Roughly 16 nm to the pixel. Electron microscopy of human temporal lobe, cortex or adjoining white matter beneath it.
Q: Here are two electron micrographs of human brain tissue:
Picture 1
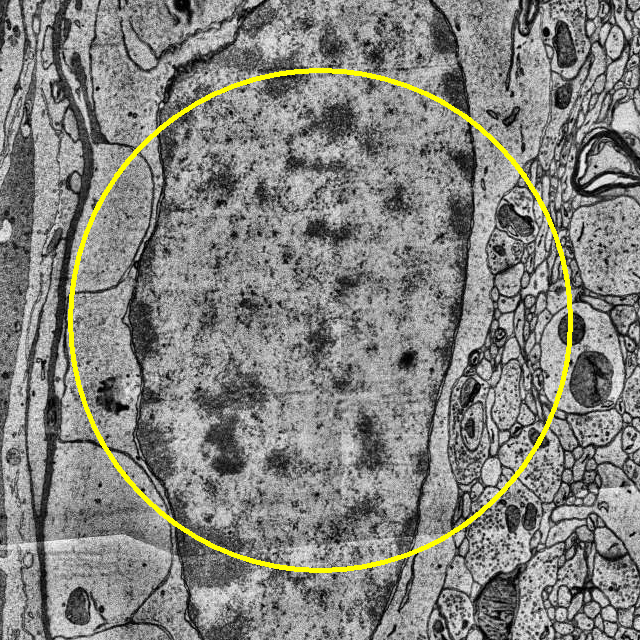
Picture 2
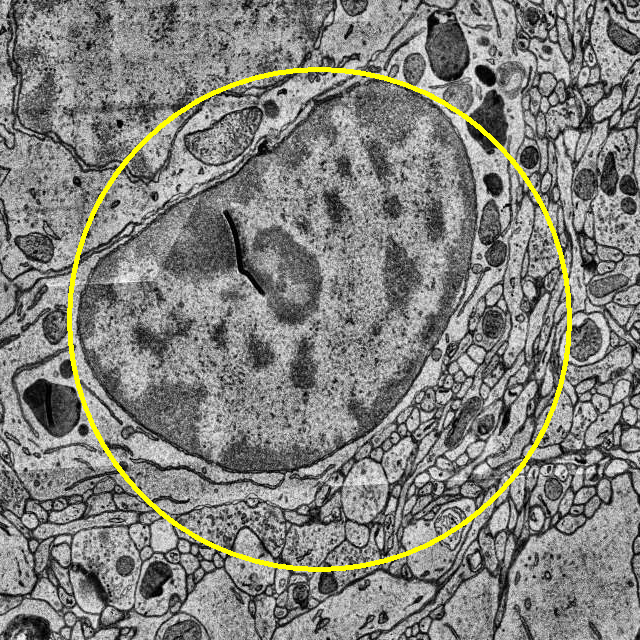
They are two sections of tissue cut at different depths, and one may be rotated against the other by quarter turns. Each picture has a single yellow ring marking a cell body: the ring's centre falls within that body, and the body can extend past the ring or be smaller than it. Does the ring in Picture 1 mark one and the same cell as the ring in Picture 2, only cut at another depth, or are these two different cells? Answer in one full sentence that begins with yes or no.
No, the rings surround different cells rather than one cell.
